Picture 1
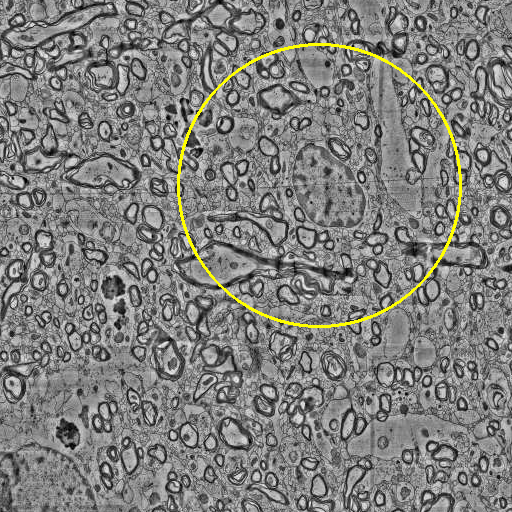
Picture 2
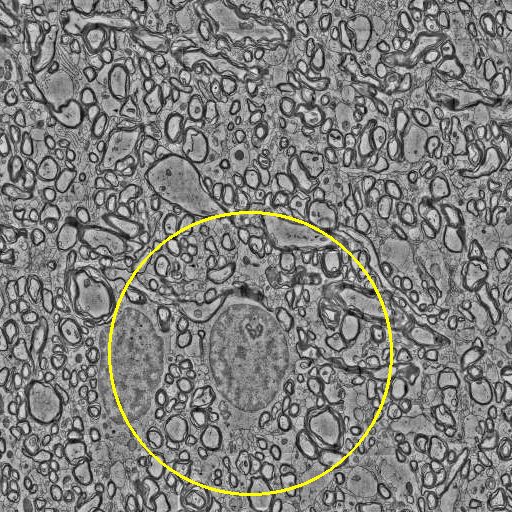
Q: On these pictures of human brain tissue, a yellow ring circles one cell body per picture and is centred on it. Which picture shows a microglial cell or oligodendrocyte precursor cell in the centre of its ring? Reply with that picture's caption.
Picture 1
